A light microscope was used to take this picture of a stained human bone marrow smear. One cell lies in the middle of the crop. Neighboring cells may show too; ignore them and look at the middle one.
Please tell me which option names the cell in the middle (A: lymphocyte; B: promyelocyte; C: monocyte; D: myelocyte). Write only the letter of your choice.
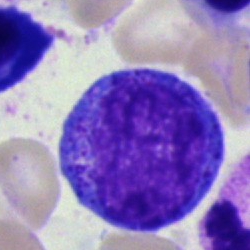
B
